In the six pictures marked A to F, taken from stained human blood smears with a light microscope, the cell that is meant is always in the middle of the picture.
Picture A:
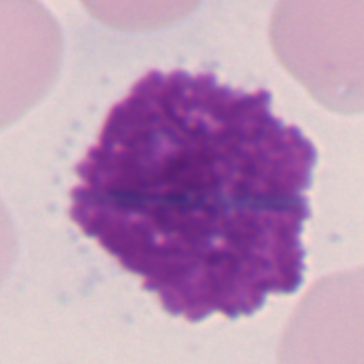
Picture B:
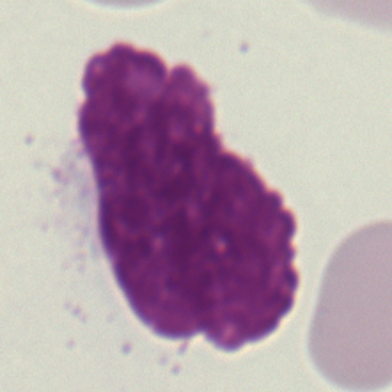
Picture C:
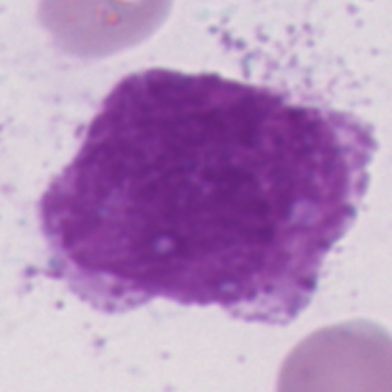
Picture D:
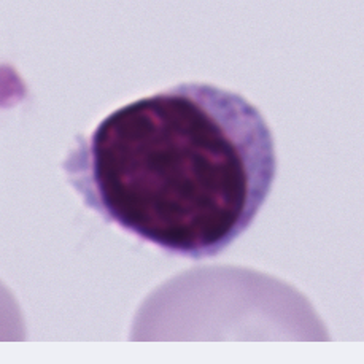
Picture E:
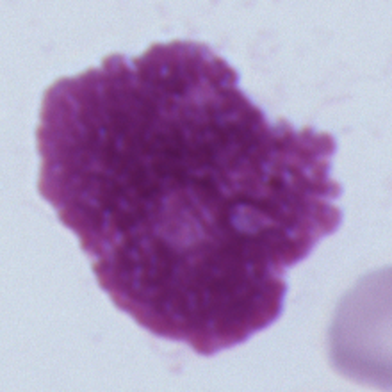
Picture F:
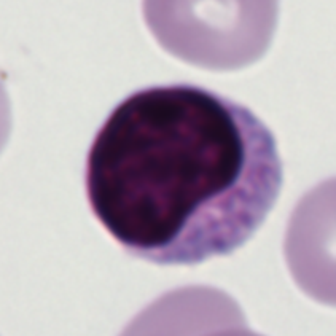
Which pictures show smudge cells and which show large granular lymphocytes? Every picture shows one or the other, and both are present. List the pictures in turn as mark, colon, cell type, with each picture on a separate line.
A: smudge cell
B: smudge cell
C: smudge cell
D: large granular lymphocyte
E: smudge cell
F: large granular lymphocyte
